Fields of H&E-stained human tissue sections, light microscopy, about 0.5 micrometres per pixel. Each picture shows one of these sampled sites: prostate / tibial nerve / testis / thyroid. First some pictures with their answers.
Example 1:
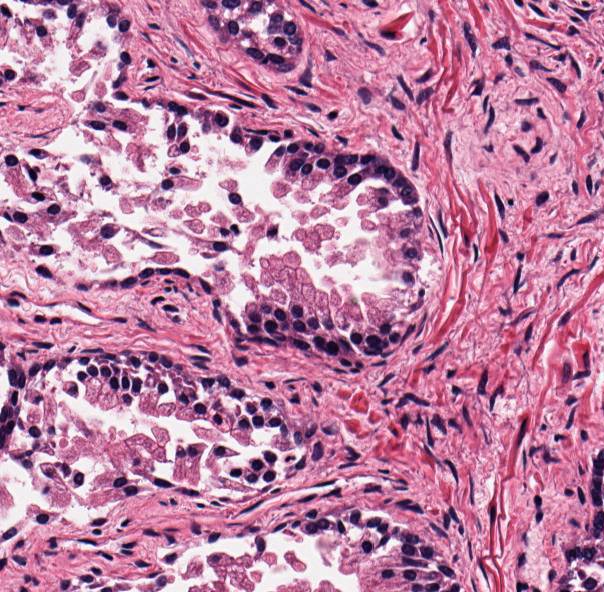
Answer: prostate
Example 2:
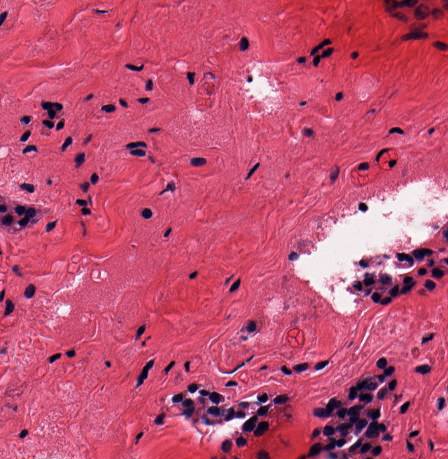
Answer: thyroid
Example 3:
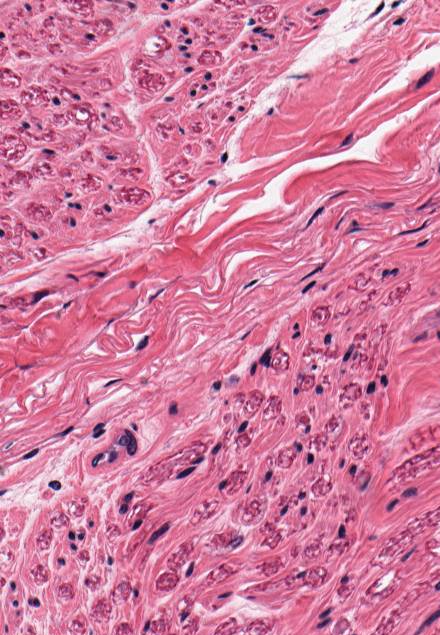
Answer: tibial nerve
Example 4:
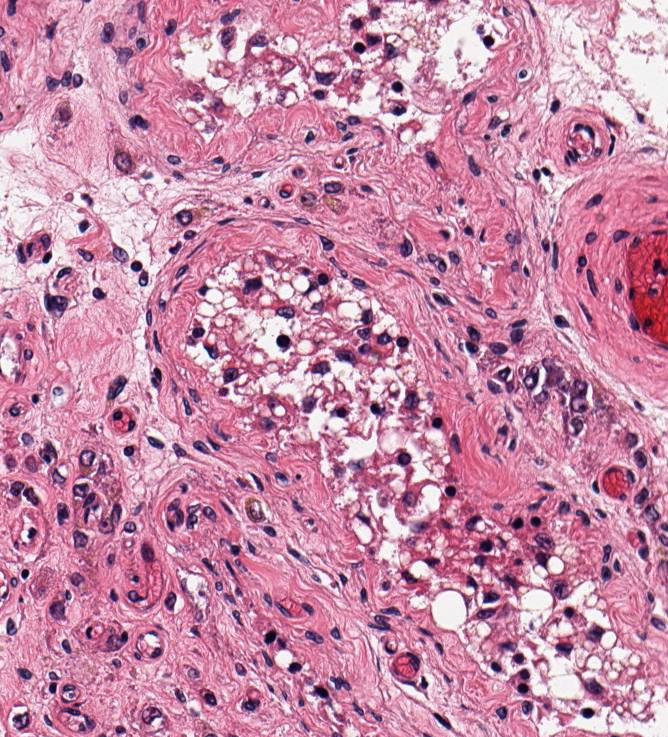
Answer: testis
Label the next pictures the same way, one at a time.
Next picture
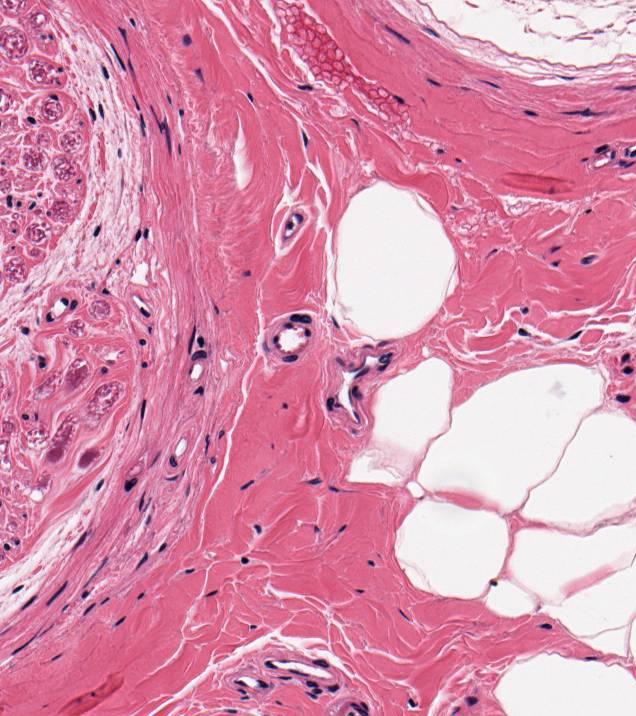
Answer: tibial nerve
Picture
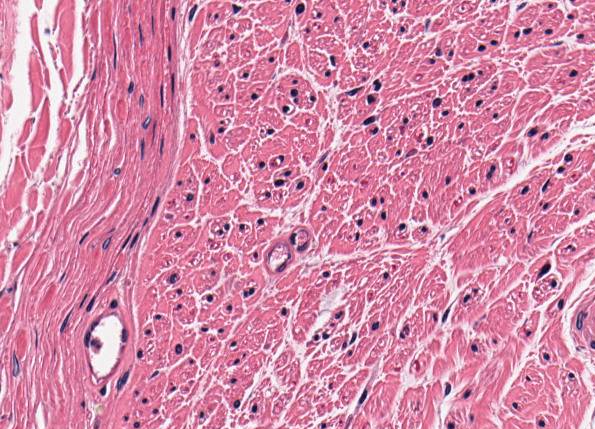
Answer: tibial nerve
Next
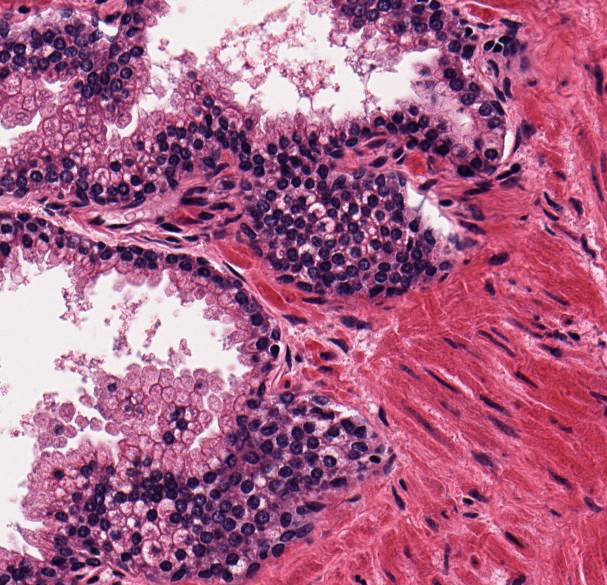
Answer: prostate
